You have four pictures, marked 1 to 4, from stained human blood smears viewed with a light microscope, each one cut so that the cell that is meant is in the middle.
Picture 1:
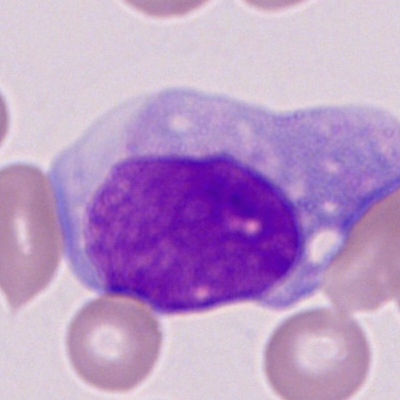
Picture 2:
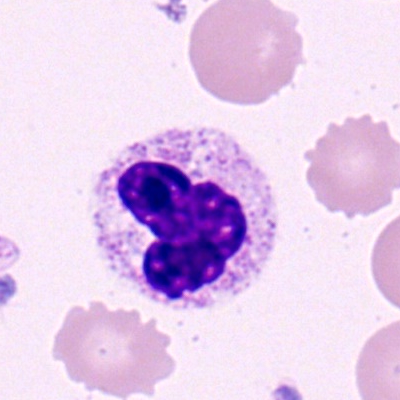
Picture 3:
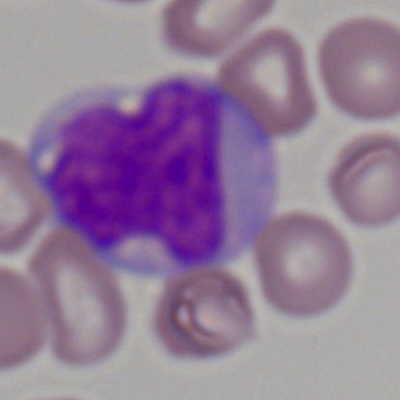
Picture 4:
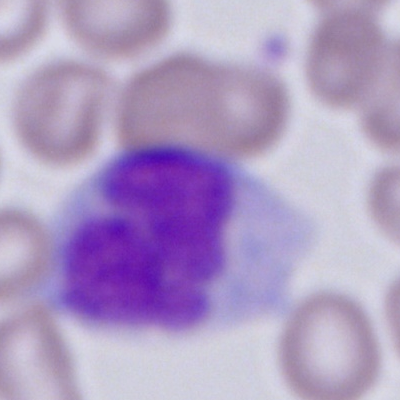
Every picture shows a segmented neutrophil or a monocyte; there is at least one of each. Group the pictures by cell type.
1: monocyte
2: segmented neutrophil
3: monocyte
4: monocyte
